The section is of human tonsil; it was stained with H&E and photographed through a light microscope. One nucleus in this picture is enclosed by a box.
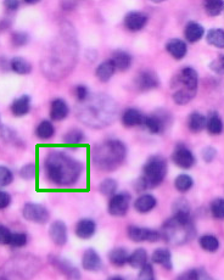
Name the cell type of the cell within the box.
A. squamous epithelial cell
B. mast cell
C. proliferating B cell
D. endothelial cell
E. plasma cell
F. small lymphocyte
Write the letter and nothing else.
C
